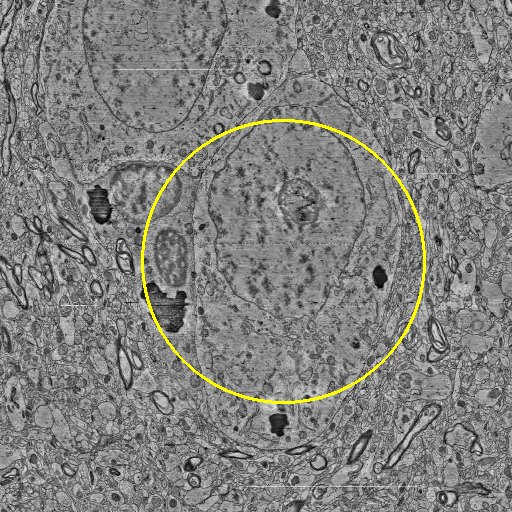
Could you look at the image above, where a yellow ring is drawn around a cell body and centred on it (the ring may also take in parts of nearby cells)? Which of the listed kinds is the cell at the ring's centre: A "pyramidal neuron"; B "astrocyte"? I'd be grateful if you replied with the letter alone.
A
